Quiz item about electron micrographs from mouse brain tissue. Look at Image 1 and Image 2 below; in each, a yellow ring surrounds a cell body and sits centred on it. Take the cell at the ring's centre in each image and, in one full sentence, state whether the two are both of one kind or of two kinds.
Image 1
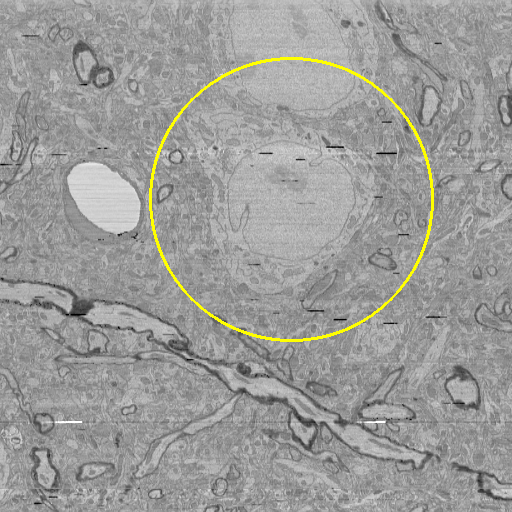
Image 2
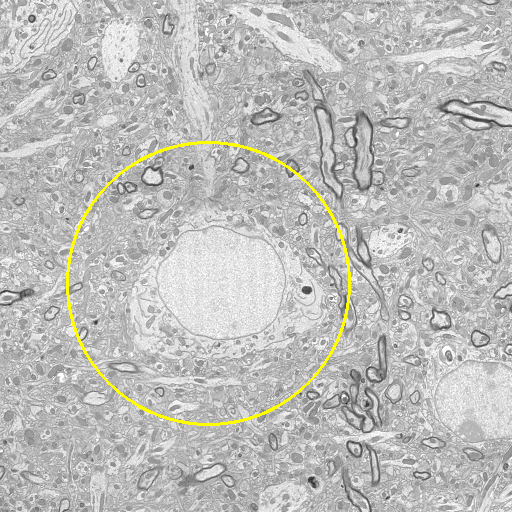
In Image 1 and Image 2, the cells at the ring centres are both of one kind.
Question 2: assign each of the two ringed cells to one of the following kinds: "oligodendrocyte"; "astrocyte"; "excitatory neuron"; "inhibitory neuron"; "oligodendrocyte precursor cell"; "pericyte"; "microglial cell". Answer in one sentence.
Both pictures show an excitatory neuron at the centre of the ring.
